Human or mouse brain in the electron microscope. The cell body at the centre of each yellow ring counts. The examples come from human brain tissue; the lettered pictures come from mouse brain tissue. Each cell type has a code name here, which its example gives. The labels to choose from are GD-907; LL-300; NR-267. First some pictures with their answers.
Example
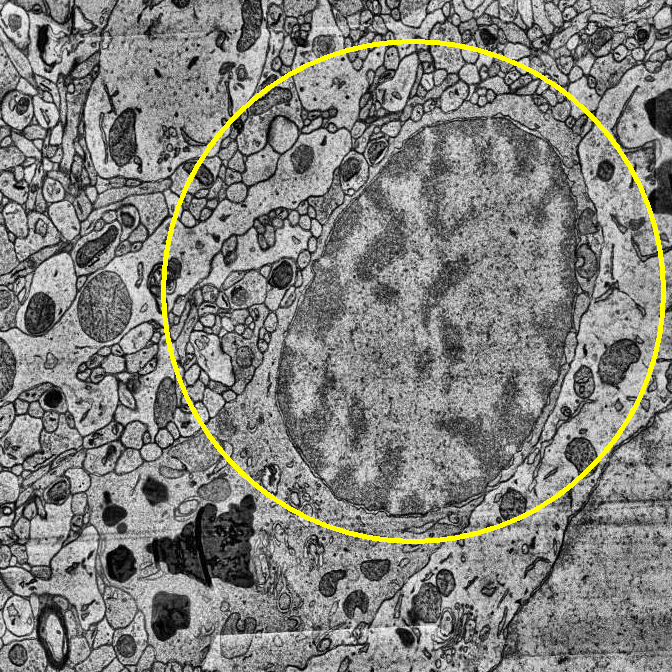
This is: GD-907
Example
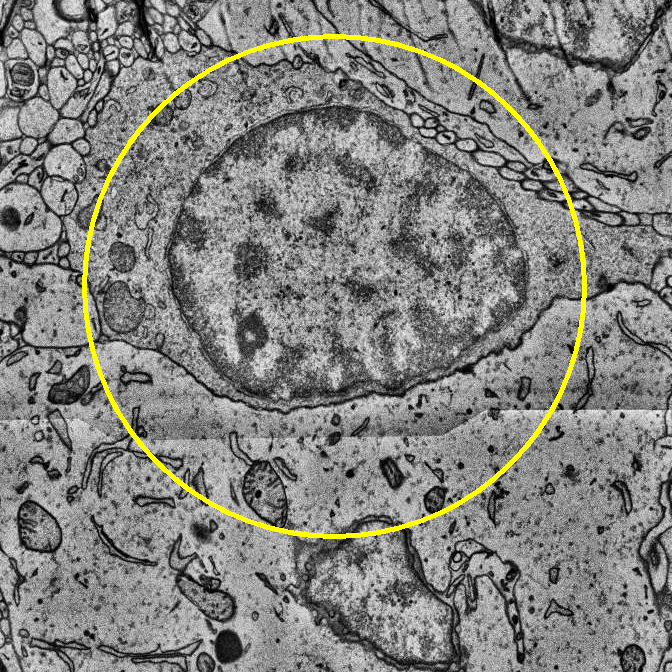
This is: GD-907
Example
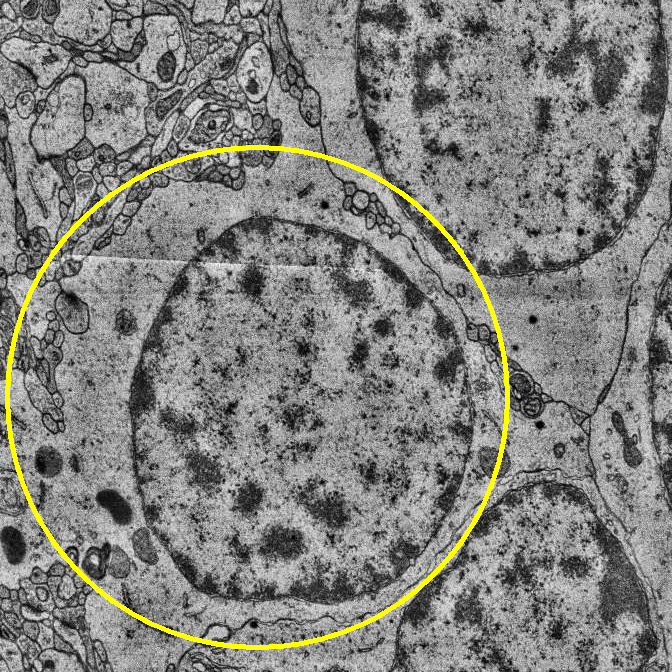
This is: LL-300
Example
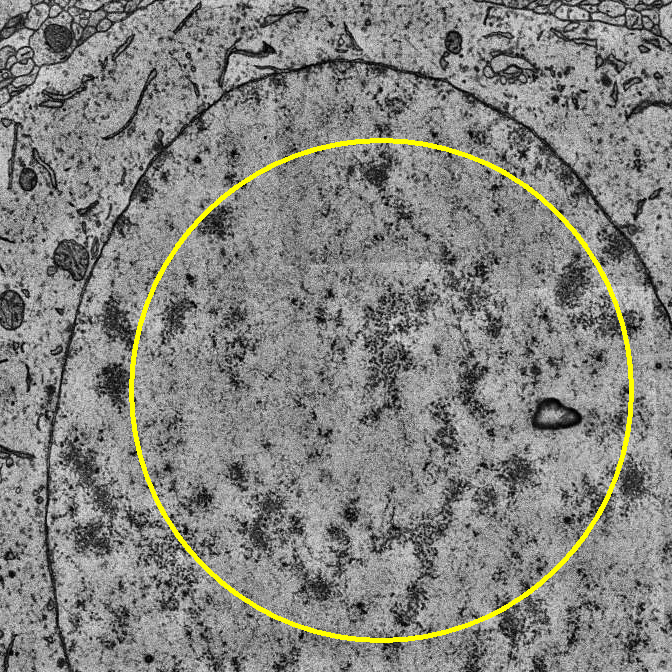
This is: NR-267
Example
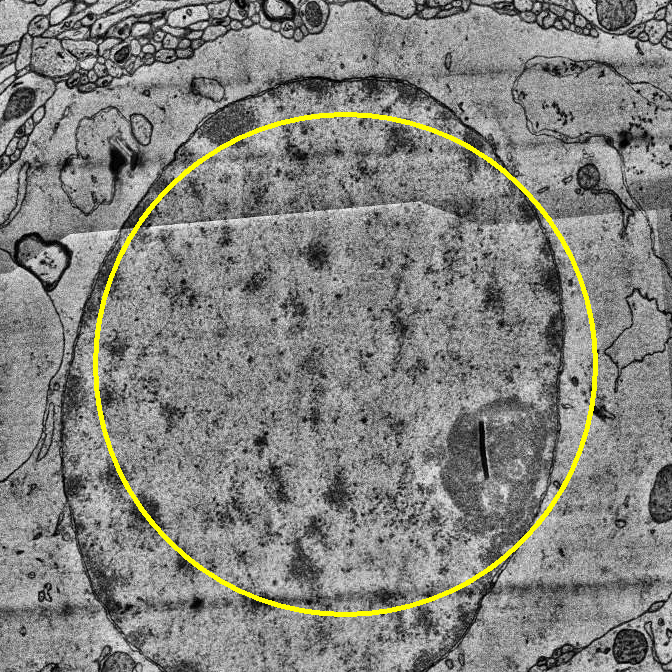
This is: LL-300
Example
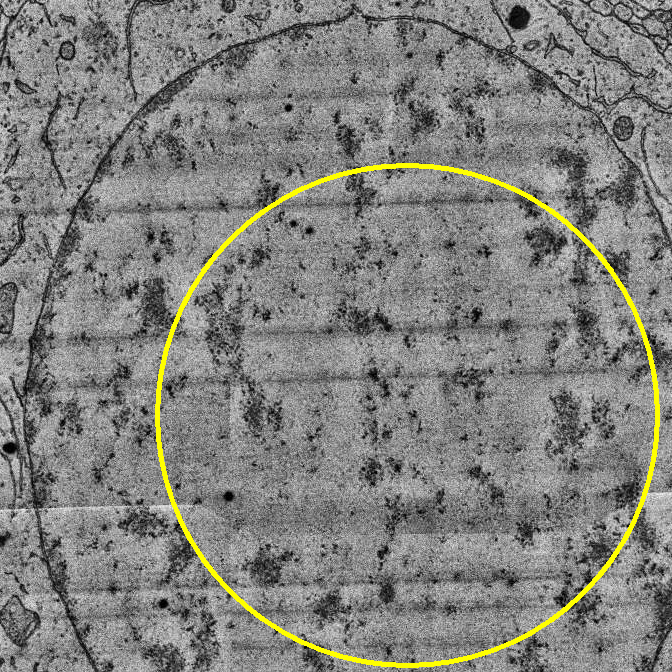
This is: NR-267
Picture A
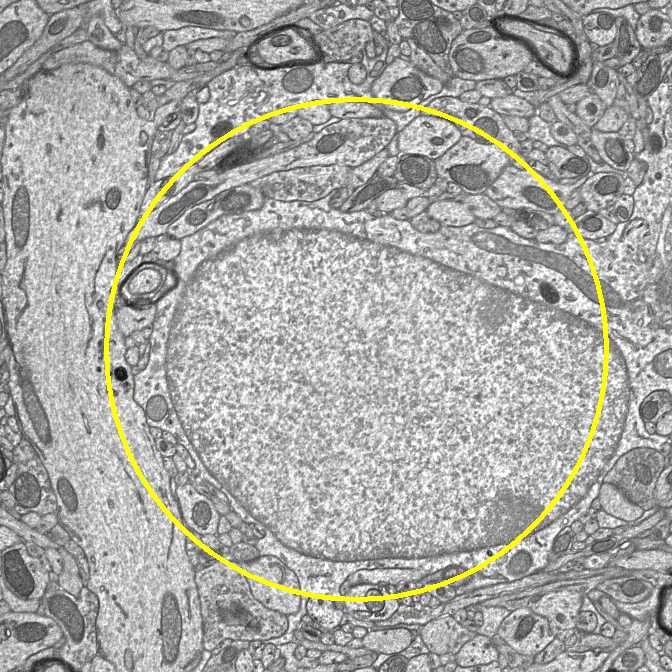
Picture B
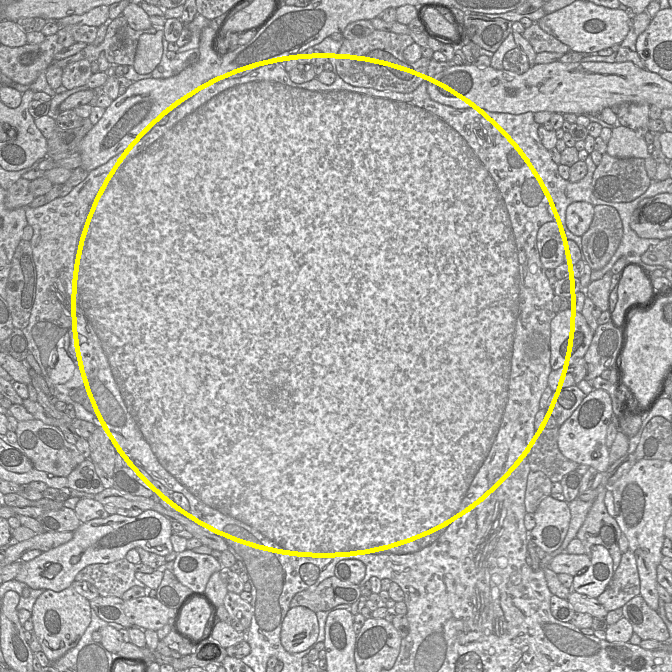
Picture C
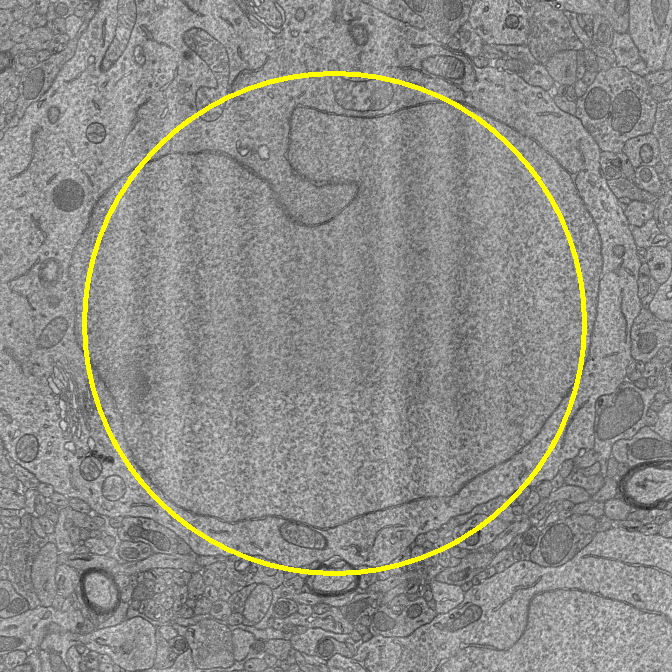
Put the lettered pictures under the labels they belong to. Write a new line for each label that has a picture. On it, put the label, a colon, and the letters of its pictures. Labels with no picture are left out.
LL-300: A, B
NR-267: C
